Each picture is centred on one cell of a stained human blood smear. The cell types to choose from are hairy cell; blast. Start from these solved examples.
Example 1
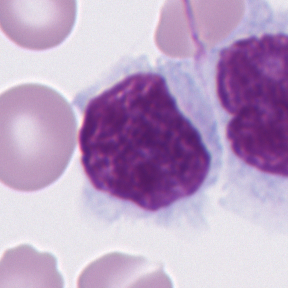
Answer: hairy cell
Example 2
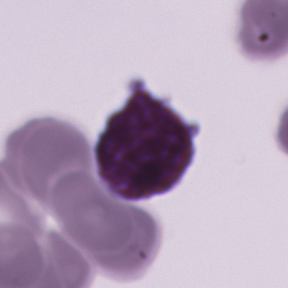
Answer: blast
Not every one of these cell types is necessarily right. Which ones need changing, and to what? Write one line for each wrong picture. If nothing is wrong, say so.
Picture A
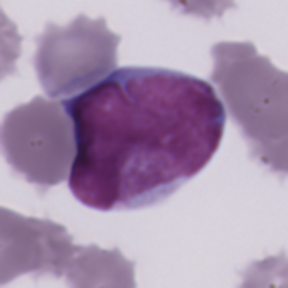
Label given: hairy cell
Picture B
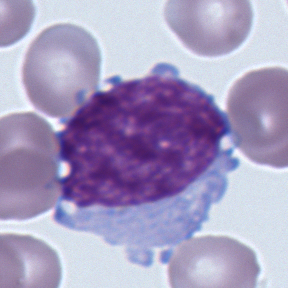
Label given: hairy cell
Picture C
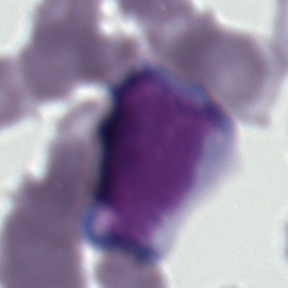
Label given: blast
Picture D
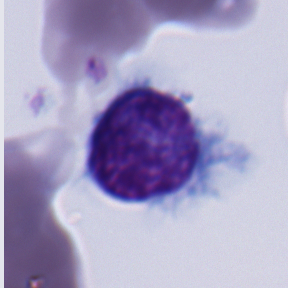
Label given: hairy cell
A: change hairy cell to blast
B: change hairy cell to blast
